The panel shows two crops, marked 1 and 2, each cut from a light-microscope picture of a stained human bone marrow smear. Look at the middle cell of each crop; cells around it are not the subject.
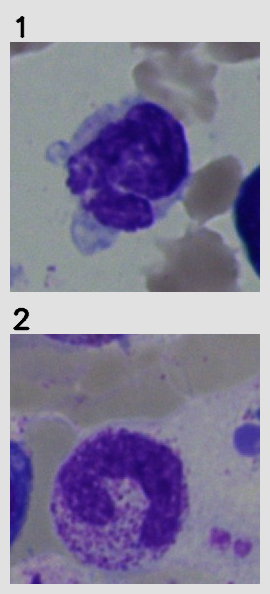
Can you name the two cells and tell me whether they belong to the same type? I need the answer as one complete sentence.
No, a monocyte occupies the middle of crop 1, and a band neutrophil the middle of crop 2.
